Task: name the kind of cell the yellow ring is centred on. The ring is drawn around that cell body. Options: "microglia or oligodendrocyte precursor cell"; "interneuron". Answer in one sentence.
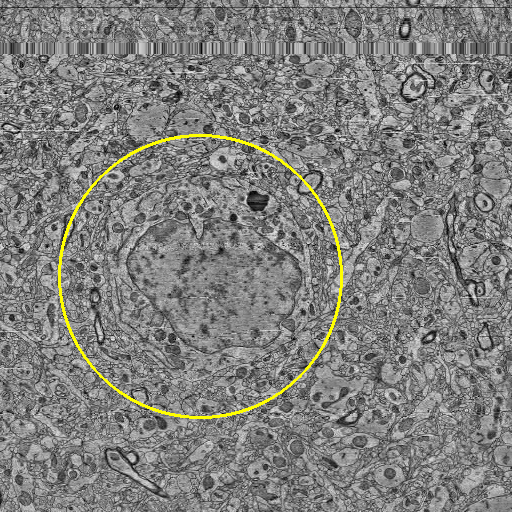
This cell body belongs to an interneuron.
